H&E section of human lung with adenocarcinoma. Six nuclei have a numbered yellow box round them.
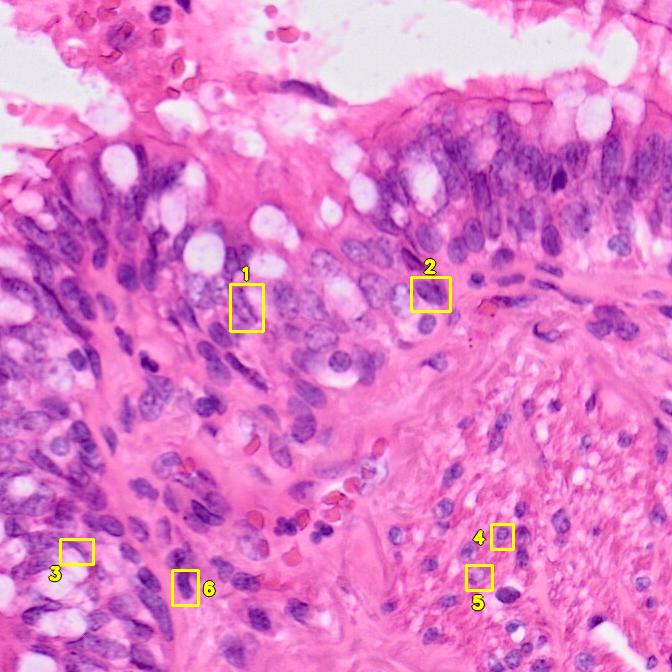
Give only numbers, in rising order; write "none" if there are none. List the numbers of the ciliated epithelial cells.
1, 2, 3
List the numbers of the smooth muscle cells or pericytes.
4, 5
